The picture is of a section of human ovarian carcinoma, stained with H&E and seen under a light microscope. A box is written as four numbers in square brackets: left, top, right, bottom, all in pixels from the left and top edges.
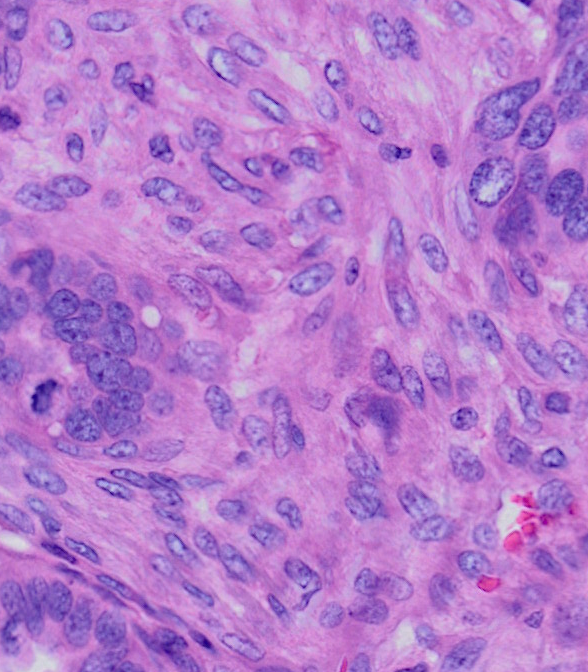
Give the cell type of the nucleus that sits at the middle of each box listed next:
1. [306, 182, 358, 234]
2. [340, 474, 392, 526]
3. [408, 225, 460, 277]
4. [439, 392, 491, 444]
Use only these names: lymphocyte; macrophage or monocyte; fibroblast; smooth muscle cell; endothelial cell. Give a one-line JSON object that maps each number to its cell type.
{"1": "fibroblast", "2": "fibroblast", "3": "fibroblast", "4": "macrophage or monocyte"}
